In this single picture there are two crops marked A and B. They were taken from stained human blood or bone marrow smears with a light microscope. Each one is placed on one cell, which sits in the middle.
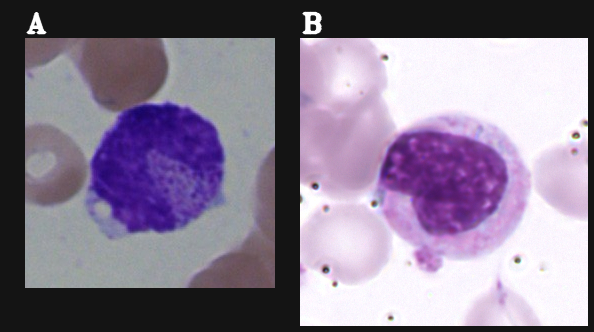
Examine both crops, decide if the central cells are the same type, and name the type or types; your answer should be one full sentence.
Yes, they do, both crops show metamyelocytes.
